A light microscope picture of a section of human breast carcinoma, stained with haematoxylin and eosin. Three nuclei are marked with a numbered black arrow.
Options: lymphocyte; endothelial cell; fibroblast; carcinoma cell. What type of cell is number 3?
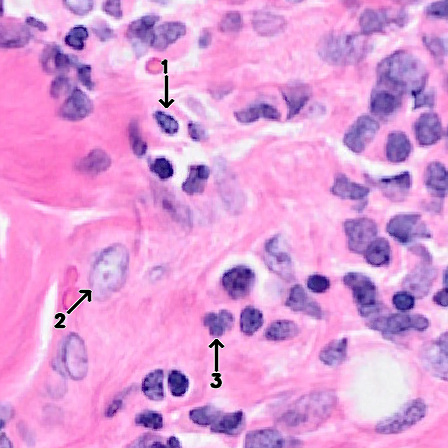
lymphocyte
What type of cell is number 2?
endothelial cell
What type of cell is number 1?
lymphocyte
